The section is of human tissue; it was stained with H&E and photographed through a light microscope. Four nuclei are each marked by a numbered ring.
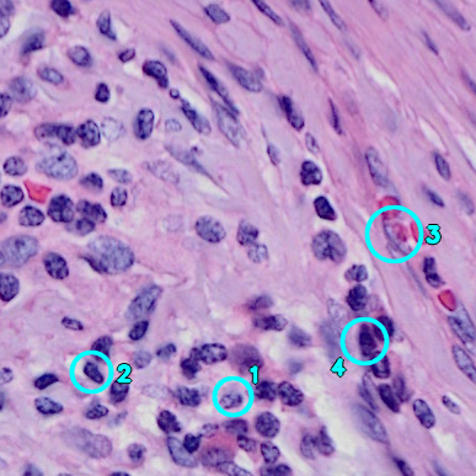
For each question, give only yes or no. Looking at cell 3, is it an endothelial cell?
yes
